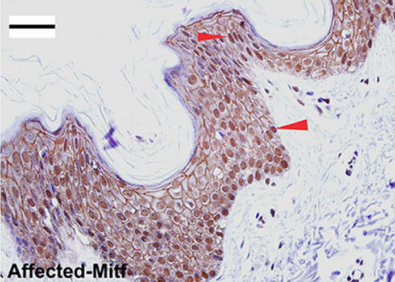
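This is stratified epidermis with brown nuclear staining in many cells and a blue counterstain. Brown-stained round nuclei are found in numerous cells across the basal and upper layers rather than only along the base. The epidermis forms ridges that project into the dermis beneath. The outermost flattened layers are bluish and largely unstained. The underlying dermis is pale and fibrous with scattered small blue nuclei.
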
